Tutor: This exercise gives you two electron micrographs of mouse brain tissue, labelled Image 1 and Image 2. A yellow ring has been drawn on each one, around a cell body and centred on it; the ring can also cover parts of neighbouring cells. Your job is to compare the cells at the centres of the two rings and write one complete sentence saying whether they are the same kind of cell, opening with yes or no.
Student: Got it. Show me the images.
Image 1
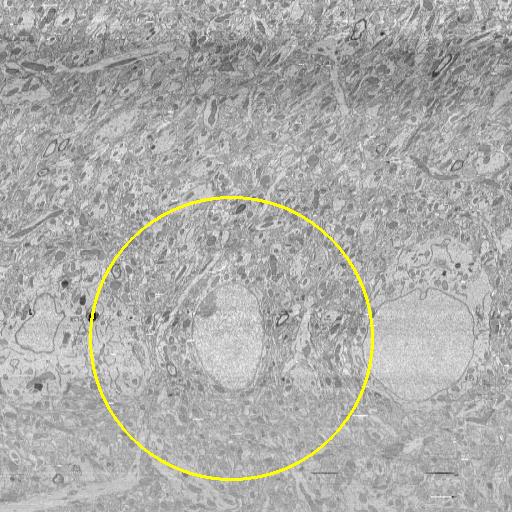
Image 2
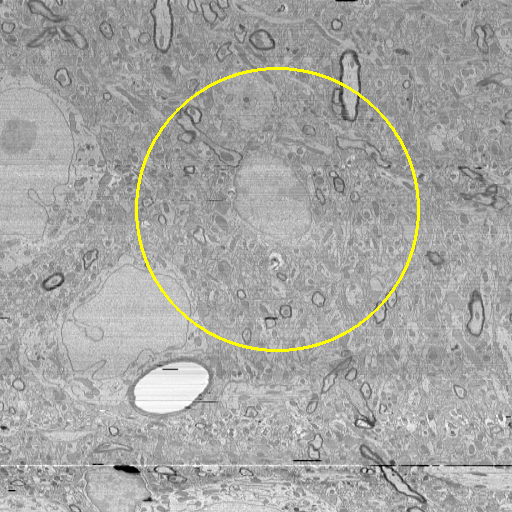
Yes, the two cells belong to the same kind.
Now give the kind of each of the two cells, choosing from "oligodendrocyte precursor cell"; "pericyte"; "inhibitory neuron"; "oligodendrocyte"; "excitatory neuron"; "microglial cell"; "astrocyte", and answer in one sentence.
Both pictures show an astrocyte at the centre of the ring.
